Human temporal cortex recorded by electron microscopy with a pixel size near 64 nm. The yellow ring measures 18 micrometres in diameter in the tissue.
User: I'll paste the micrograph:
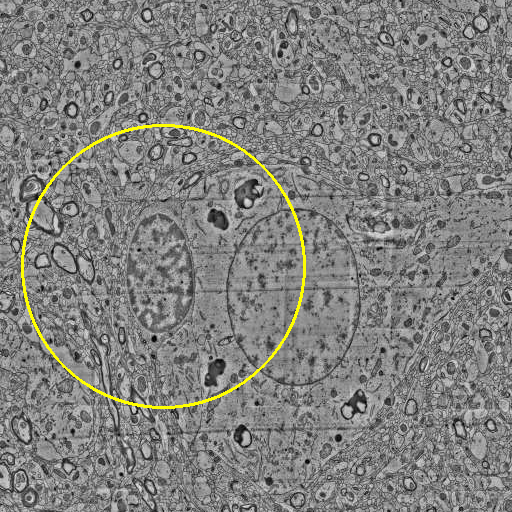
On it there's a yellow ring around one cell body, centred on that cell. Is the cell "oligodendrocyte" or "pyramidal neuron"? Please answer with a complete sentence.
The cell ringed in yellow is an oligodendrocyte.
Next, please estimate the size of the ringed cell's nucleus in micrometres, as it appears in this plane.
The ringed cell's nucleus measures approximately 7 by 4 micrometres in this plane.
